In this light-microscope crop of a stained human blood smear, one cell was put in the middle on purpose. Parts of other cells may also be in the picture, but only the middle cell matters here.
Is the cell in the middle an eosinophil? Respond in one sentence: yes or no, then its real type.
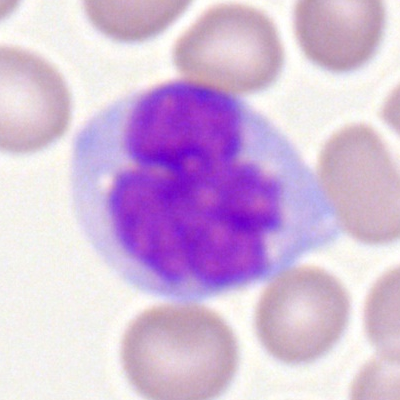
No, the cell centered in the crop is a monocyte, not an eosinophil.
